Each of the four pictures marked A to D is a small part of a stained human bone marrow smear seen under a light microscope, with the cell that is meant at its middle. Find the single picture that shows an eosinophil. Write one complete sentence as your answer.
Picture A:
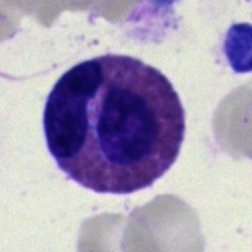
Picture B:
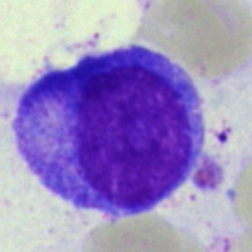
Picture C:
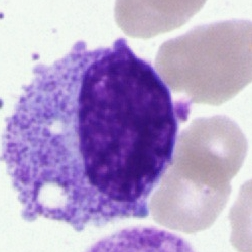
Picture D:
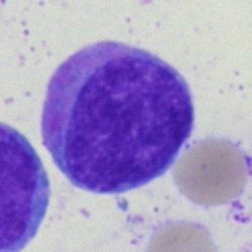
The cell in picture A is the eosinophil.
